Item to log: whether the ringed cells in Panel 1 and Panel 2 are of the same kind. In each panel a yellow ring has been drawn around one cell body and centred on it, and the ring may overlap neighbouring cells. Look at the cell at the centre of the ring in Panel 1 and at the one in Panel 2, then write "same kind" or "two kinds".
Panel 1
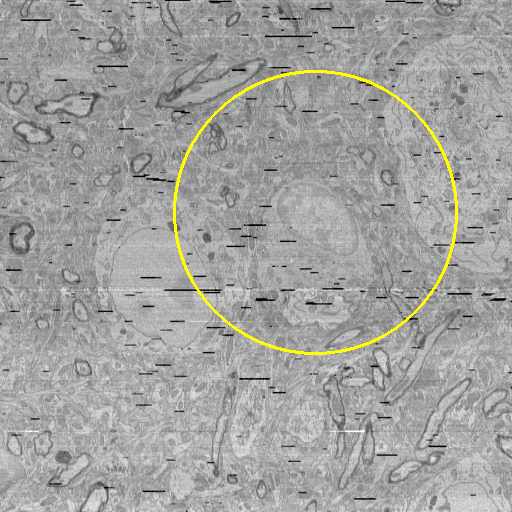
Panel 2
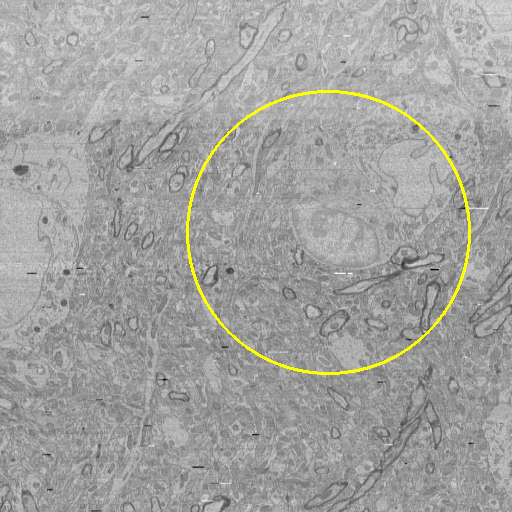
same kind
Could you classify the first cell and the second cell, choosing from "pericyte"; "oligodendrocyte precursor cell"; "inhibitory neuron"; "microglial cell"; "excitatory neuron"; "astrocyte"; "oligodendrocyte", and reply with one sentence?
The cell in the first picture is an oligodendrocyte, and so is the one in the second.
